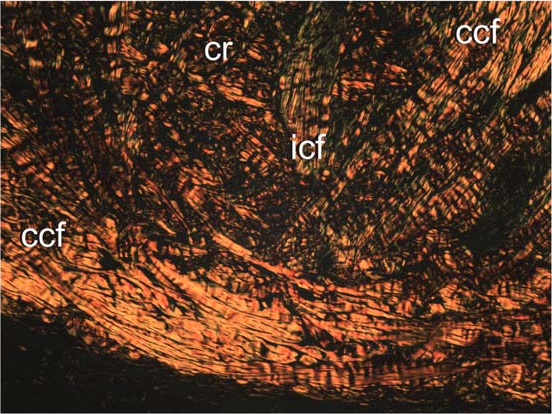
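Along the lower edge, long wavy fiber bundles run in parallel and follow the curved margin of the tissue. Toward the upper part, fibers are shorter and cross at varying angles, giving a woven, interlaced appearance. Dark gaps separate many of the small fiber segments in this central region. The overall pattern is one of a peripheral curved band of parallel fibers surrounding a less ordered interior.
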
